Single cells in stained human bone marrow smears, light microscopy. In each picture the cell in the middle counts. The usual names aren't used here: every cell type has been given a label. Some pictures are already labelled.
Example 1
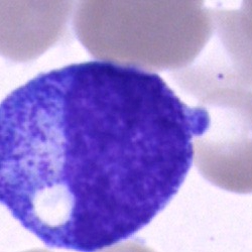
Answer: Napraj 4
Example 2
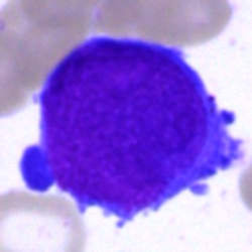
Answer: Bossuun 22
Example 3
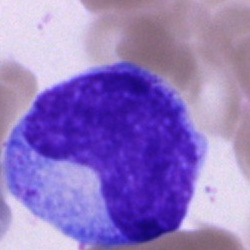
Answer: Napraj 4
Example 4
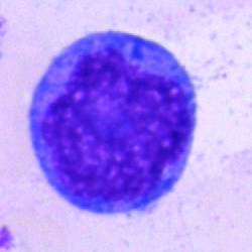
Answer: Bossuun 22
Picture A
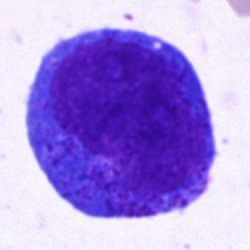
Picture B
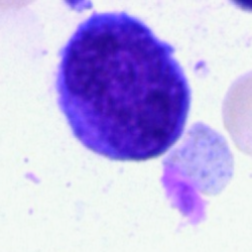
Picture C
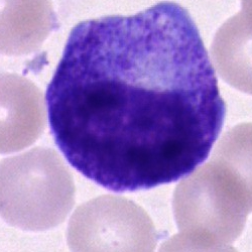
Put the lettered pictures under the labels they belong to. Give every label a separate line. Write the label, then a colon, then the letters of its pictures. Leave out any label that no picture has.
Napraj 4: A, C
Bossuun 22: B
